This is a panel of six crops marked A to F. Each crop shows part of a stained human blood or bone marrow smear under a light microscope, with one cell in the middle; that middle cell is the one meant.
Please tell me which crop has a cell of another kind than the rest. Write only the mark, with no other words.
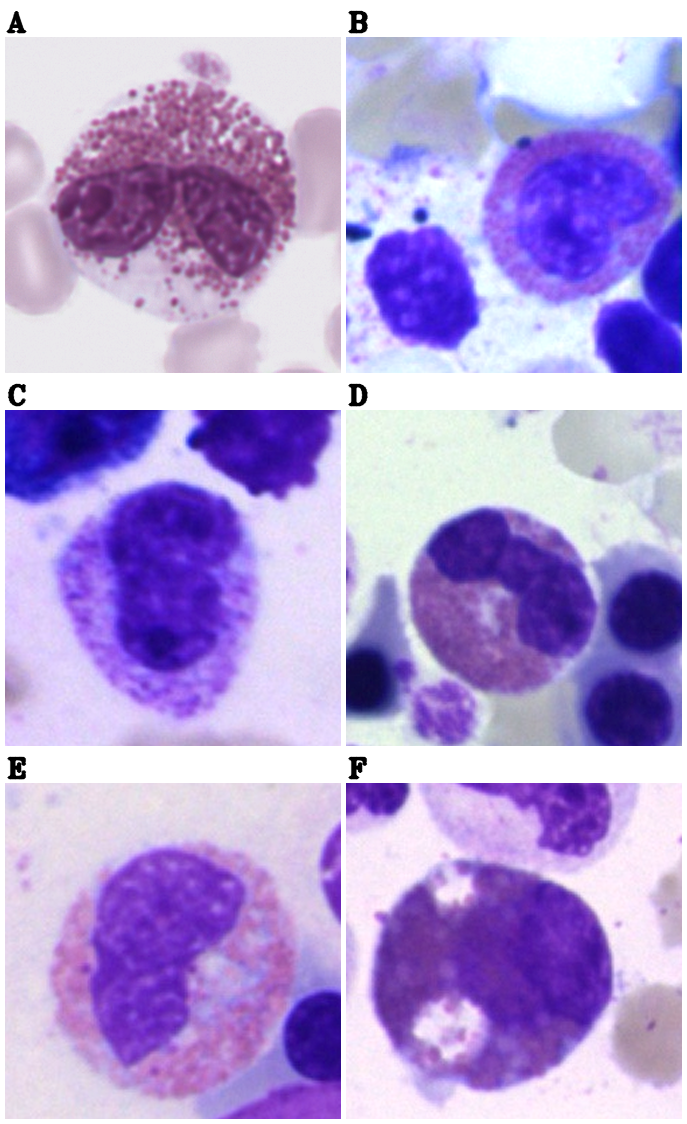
C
